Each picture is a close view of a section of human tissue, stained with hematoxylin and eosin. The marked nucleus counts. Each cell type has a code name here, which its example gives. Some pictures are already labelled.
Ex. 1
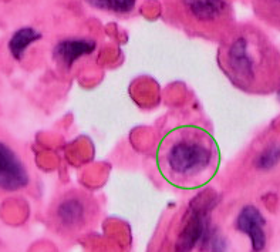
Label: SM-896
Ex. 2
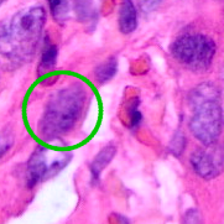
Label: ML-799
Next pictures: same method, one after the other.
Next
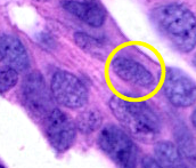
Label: ML-799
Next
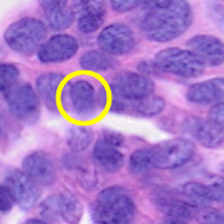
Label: ML-799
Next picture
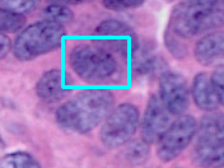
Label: ML-799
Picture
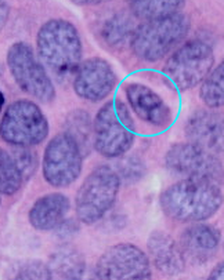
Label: SM-896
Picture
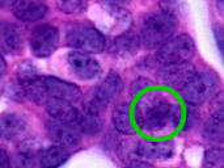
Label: ML-799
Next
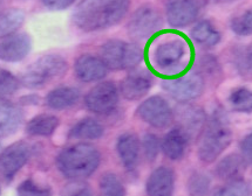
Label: SM-896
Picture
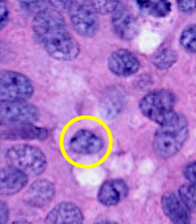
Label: SM-896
